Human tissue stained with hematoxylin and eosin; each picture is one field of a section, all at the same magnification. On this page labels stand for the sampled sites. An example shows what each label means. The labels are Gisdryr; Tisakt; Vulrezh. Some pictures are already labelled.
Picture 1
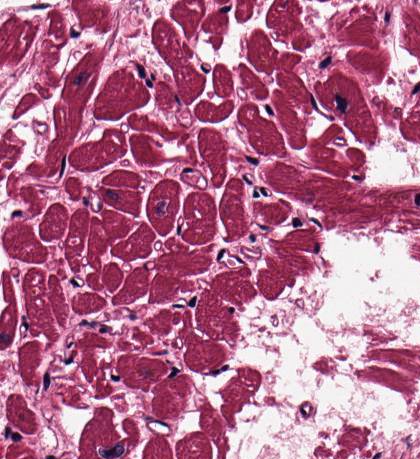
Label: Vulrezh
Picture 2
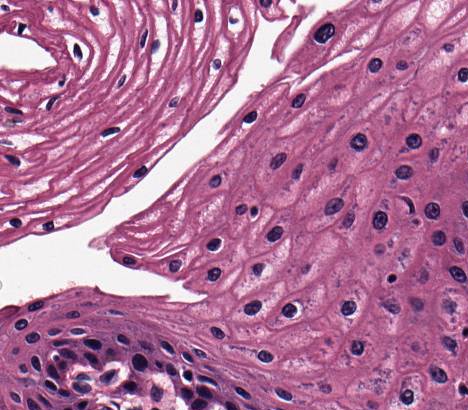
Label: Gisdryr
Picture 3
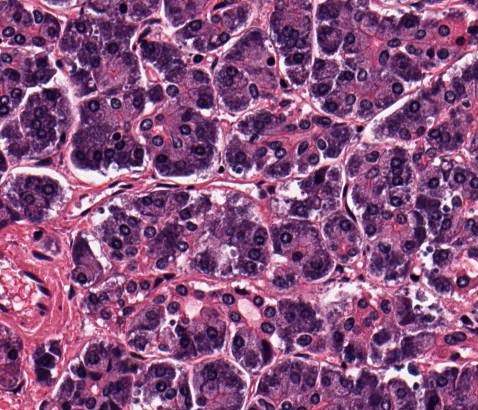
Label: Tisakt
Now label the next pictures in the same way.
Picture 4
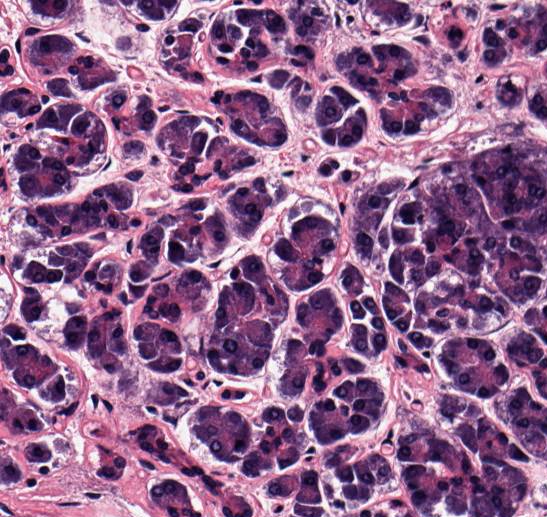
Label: Tisakt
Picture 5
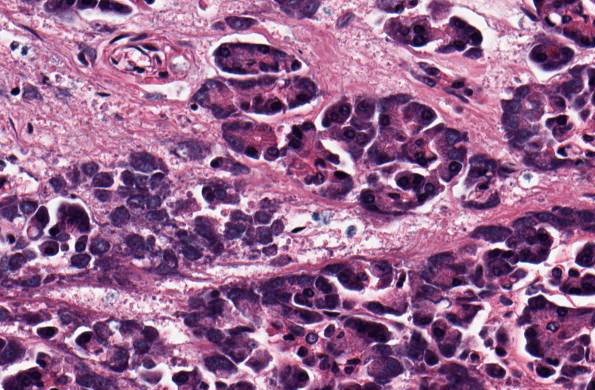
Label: Tisakt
